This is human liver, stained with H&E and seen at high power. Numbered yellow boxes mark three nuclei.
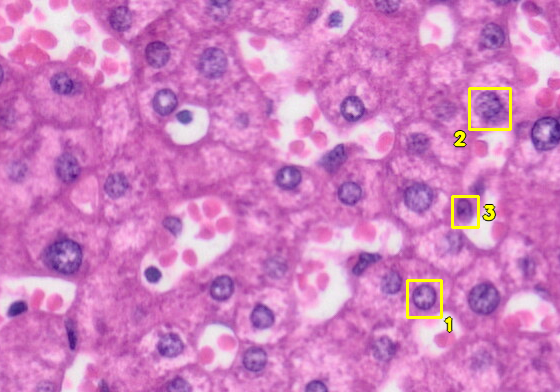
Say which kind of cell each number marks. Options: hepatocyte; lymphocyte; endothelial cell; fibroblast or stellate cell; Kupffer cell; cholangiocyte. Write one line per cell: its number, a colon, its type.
1: hepatocyte
2: hepatocyte
3: Kupffer cell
